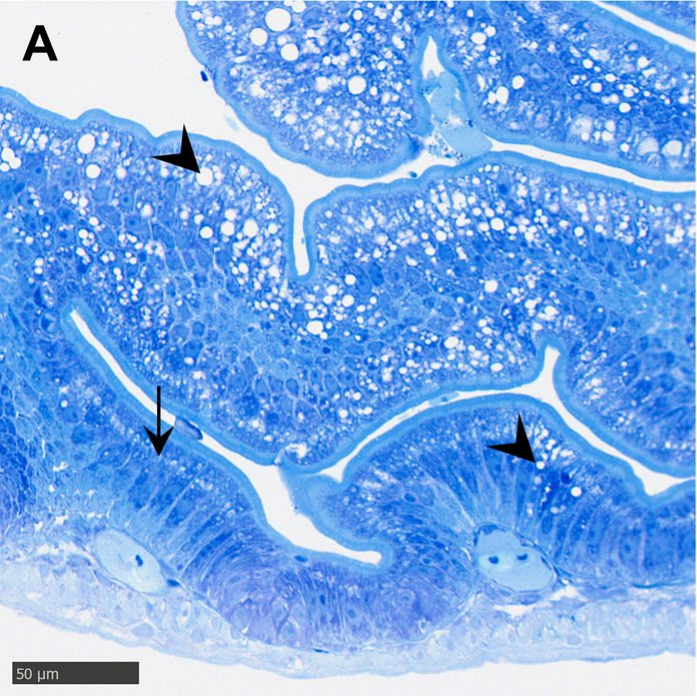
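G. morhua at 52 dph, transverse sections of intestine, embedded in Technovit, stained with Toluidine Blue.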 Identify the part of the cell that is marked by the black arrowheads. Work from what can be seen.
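Round, sharply bounded clear vacuoles of varying size fill the upper cytoplasm of the lining epithelial cells. The vacuoles are unstained against the blue cytoplasm. That points to this answer: large lipid droplets.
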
